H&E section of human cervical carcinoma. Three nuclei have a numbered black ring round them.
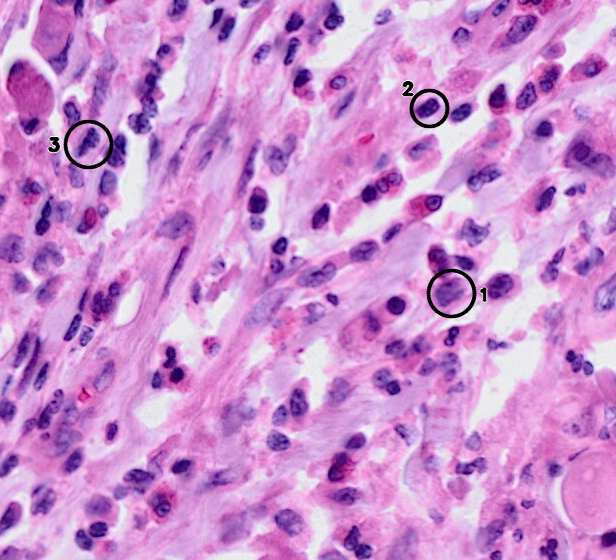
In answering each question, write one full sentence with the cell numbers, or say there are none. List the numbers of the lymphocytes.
The cells 2 and 3 in this section are lymphocytes.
